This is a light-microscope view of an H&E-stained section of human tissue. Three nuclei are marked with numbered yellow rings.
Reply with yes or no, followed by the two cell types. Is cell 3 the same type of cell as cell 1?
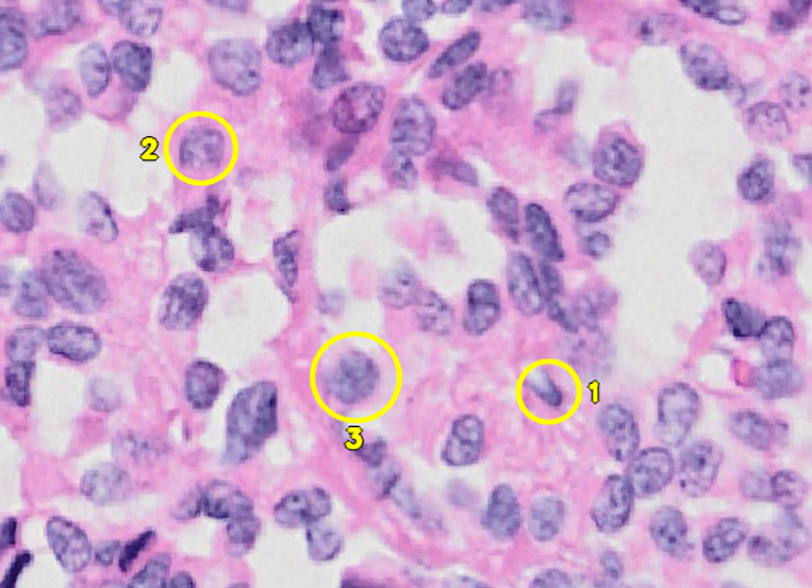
No, cell 3 is a carcinoma cell and cell 1 is an endothelial cell.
